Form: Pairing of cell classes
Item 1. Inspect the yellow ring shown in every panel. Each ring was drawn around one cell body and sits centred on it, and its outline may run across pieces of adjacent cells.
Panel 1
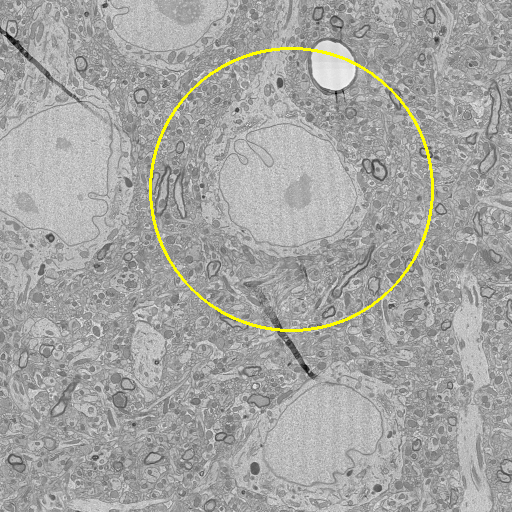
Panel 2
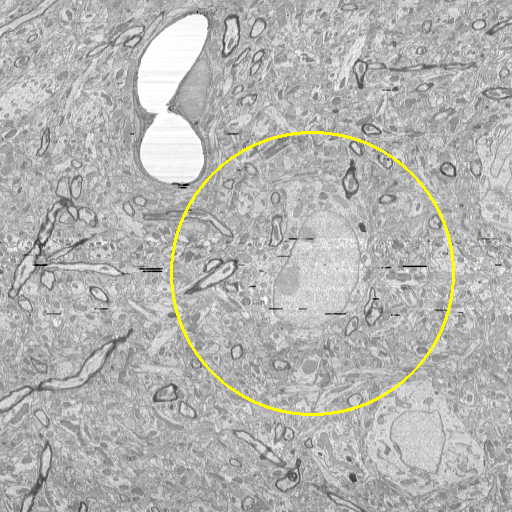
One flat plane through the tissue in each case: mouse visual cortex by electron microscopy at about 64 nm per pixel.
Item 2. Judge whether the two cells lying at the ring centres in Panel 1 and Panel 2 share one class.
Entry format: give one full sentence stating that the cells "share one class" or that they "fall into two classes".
The cells at the ring centres in Panel 1 and Panel 2 fall into two classes.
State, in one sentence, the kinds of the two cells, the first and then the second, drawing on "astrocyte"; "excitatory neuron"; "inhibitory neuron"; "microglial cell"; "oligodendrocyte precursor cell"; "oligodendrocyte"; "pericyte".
The ring in the second picture is centred on an astrocyte, the ring in the first on an excitatory neuron.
